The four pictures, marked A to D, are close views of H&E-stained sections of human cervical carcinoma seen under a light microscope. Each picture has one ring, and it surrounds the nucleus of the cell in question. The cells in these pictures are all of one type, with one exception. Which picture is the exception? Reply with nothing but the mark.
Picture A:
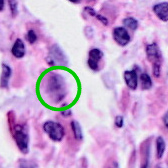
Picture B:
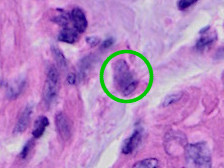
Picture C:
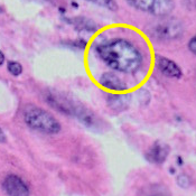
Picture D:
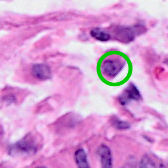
C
